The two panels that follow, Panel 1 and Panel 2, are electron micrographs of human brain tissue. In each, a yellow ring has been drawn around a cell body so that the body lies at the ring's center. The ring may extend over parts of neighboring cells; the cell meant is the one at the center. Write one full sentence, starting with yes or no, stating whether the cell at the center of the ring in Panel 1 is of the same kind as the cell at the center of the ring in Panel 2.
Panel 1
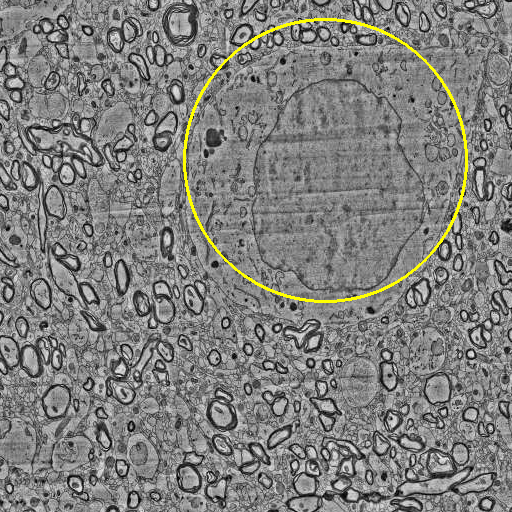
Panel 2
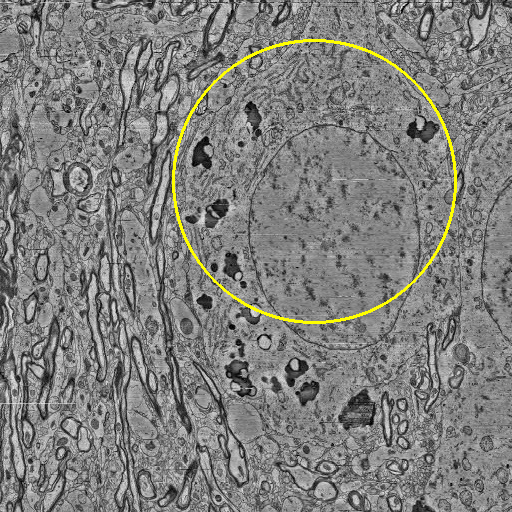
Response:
Yes, the cells in both panels are of the same kind.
